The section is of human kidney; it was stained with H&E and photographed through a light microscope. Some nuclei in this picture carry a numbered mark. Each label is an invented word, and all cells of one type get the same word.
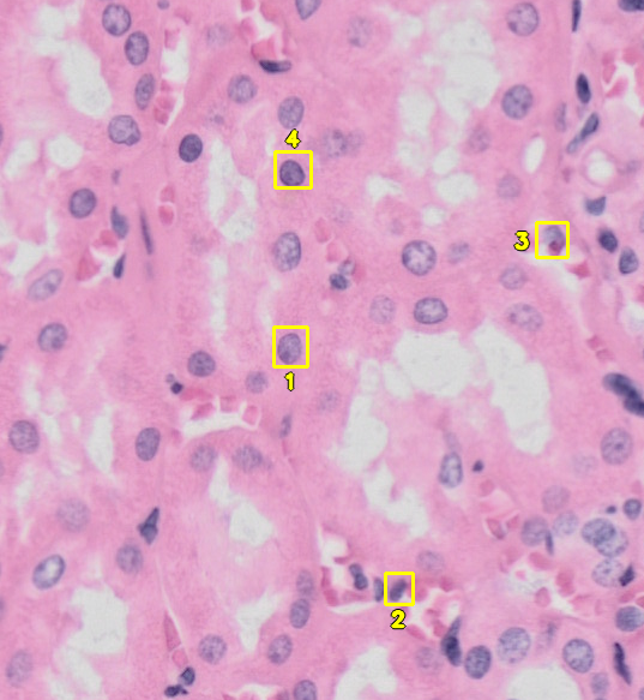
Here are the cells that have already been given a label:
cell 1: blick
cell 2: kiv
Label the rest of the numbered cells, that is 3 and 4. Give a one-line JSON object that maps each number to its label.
{"3": "kiv", "4": "blick"}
